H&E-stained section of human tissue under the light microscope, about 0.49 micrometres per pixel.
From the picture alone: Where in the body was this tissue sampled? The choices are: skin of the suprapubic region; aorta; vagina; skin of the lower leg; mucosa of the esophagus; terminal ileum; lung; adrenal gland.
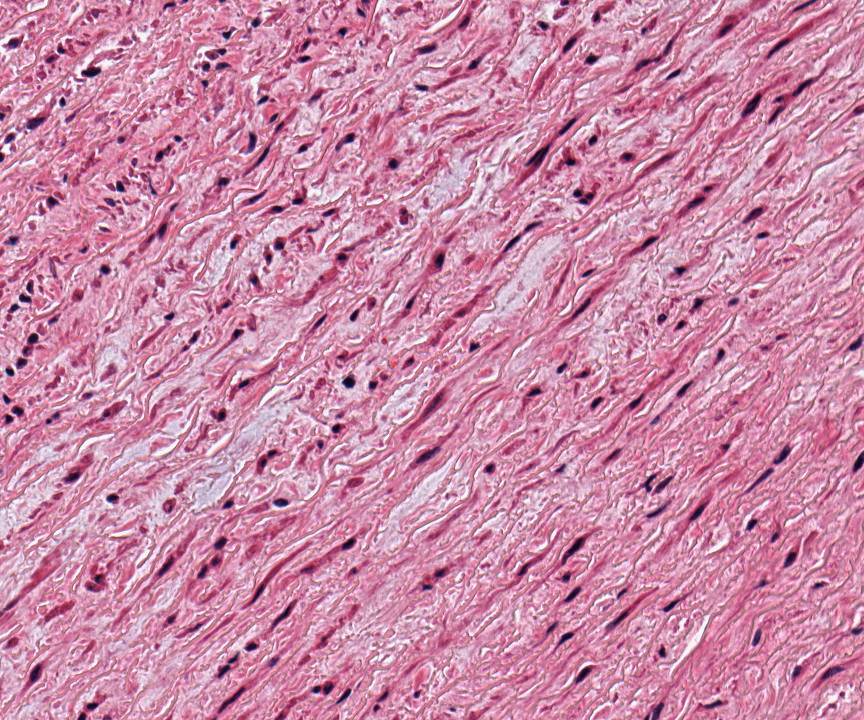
aorta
